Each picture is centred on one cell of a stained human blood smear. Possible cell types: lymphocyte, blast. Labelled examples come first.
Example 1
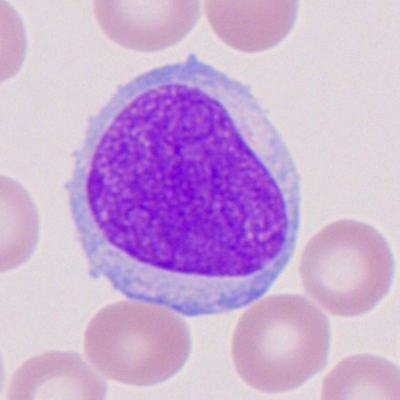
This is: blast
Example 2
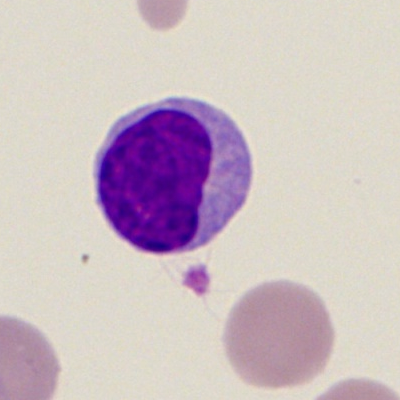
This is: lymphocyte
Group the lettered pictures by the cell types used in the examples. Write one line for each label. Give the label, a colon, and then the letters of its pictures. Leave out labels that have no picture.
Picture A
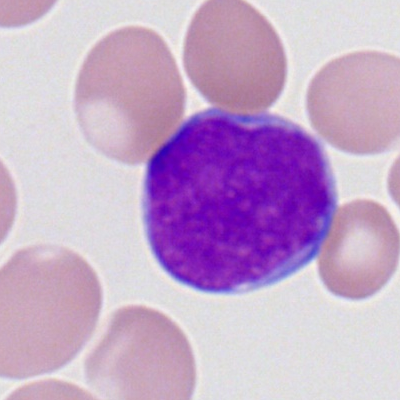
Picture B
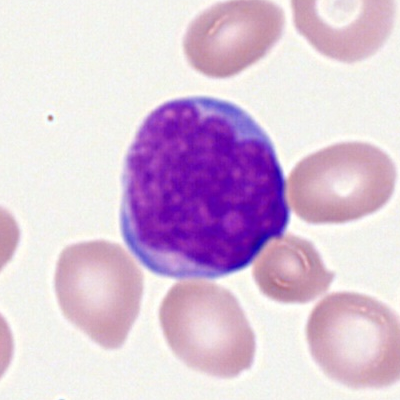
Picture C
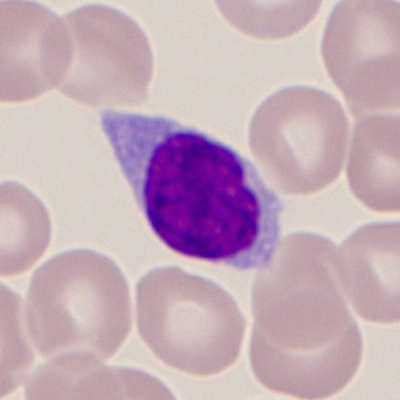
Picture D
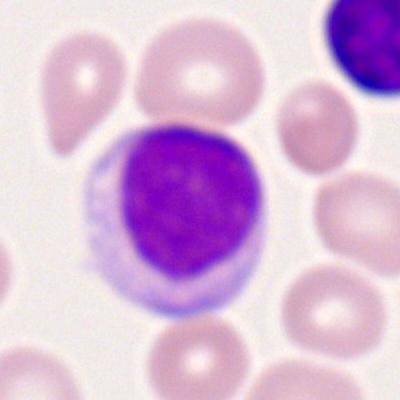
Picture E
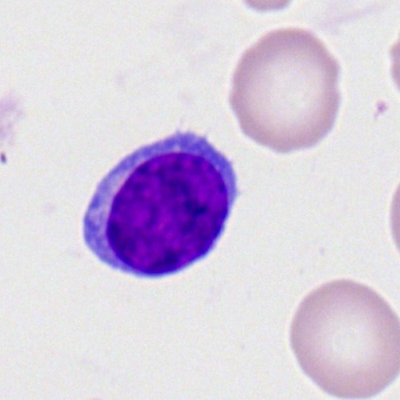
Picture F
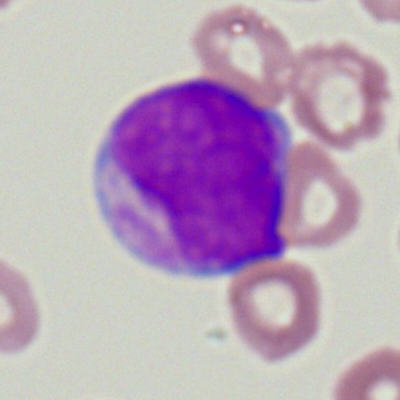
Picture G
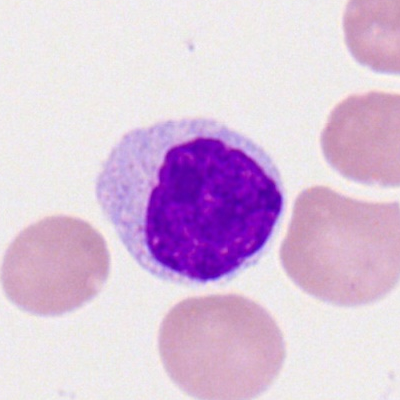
lymphocyte: C, D, E, G
blast: A, B, F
